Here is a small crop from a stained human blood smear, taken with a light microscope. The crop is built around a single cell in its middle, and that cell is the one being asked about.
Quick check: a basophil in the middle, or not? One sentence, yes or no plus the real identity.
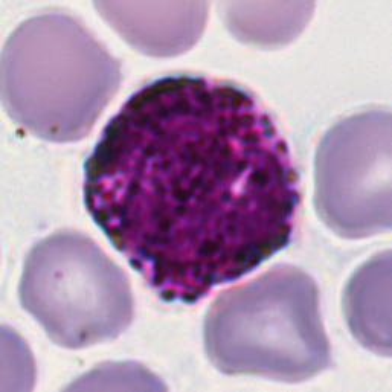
Yes, the cell lying in the centre of the crop is identified as a basophil.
